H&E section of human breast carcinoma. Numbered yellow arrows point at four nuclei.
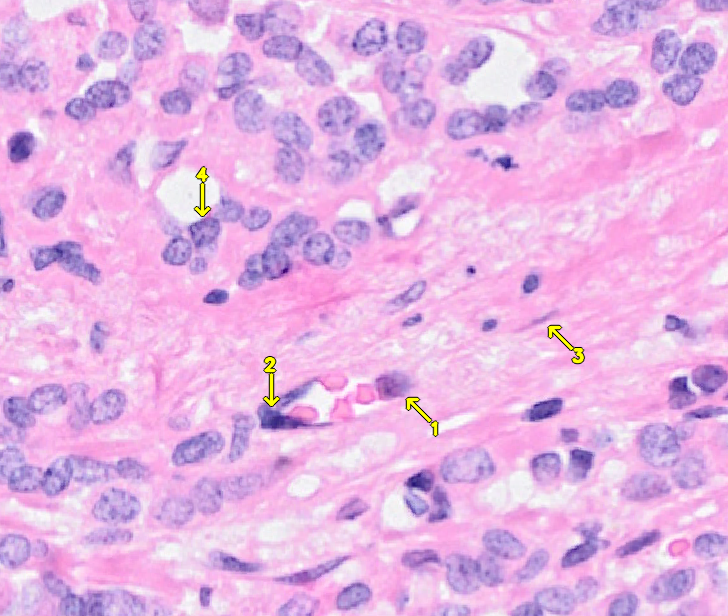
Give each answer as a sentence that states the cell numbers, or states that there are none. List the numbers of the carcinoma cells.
Cell 4 is a carcinoma cell, while every other numbered cell is not.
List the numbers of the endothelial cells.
The cells that the numbers 1 and 2 belong to are endothelial cells.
